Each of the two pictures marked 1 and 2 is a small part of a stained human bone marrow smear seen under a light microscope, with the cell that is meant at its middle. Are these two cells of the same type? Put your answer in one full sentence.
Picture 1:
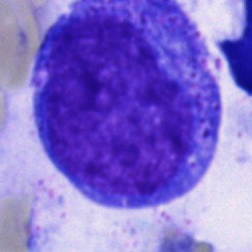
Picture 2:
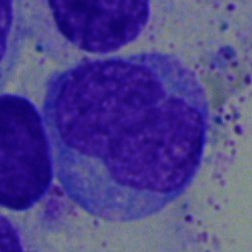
No; the cell in picture 1 is a promyelocyte, while the one in picture 2 is a monocyte.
